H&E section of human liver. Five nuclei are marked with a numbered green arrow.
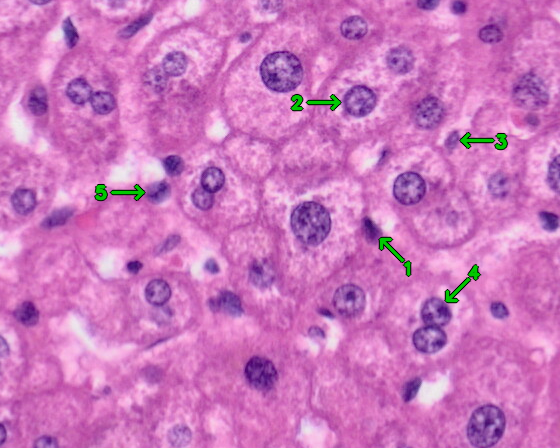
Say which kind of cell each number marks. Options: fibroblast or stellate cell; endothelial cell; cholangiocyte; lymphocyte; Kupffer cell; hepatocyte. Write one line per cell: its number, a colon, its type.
1: endothelial cell
2: hepatocyte
3: Kupffer cell
4: hepatocyte
5: endothelial cell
